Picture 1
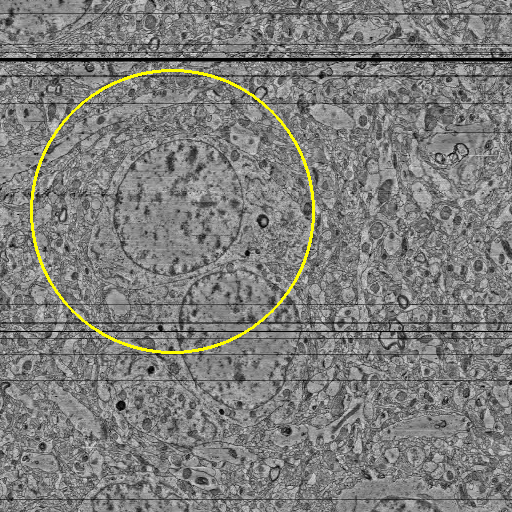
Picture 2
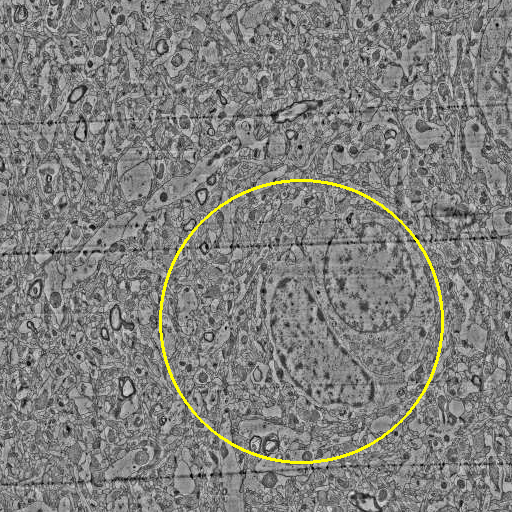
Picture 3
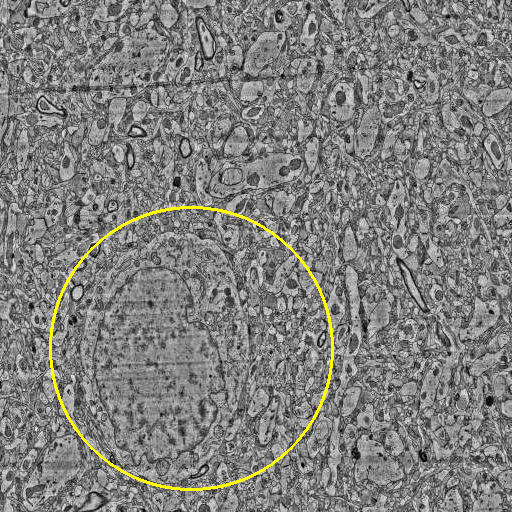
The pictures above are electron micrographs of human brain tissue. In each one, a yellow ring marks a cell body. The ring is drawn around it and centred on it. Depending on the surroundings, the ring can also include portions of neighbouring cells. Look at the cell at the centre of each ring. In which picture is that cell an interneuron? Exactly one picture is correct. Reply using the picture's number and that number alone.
3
